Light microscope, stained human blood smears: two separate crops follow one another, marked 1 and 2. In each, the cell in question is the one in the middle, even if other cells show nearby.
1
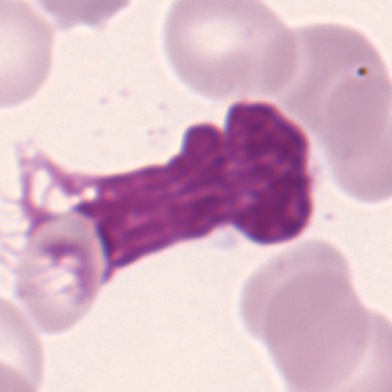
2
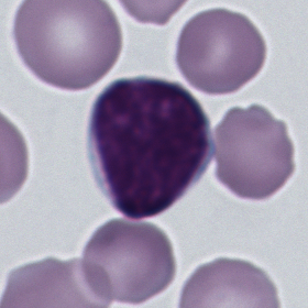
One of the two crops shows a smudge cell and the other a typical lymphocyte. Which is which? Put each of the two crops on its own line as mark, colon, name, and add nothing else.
1: smudge cell
2: typical lymphocyte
